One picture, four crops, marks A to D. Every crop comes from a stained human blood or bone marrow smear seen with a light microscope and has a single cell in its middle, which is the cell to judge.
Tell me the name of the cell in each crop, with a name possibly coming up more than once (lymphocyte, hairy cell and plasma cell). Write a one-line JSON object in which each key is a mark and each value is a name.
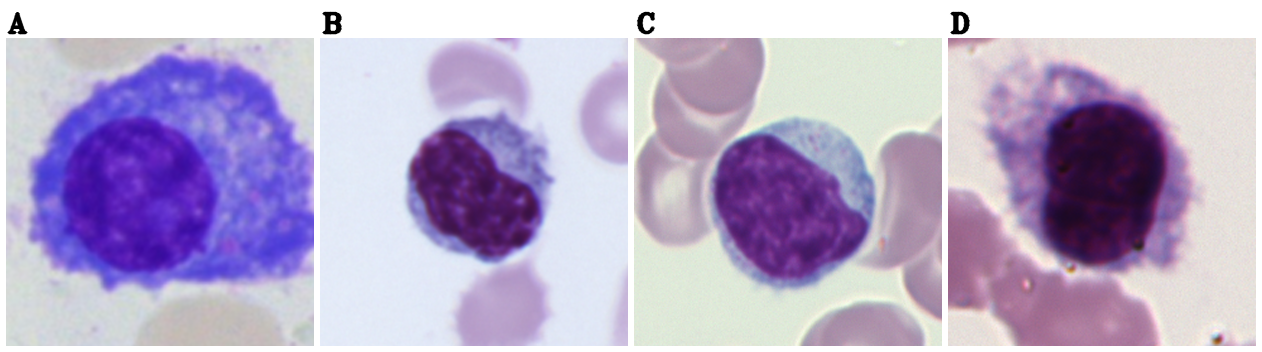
{"A": "plasma cell", "B": "lymphocyte", "C": "lymphocyte", "D": "hairy cell"}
